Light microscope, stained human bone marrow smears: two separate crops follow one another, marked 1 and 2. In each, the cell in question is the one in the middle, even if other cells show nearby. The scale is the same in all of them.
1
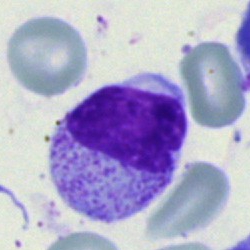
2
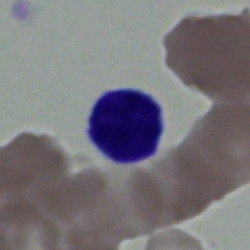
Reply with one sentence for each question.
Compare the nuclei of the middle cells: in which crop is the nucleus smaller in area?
Smaller is the nucleus in crop 2, and the other is about 2 times as large in area.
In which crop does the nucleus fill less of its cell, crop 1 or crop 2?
In crop 1 the nucleus takes up the smaller part of its cell.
